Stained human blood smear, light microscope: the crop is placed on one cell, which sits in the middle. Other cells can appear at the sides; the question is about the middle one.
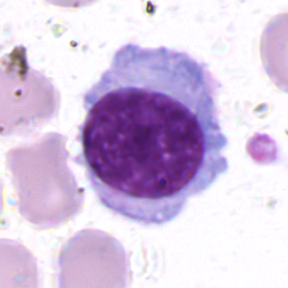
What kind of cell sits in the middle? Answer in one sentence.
The cell in the exact centre of the crop is a plasma cell.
